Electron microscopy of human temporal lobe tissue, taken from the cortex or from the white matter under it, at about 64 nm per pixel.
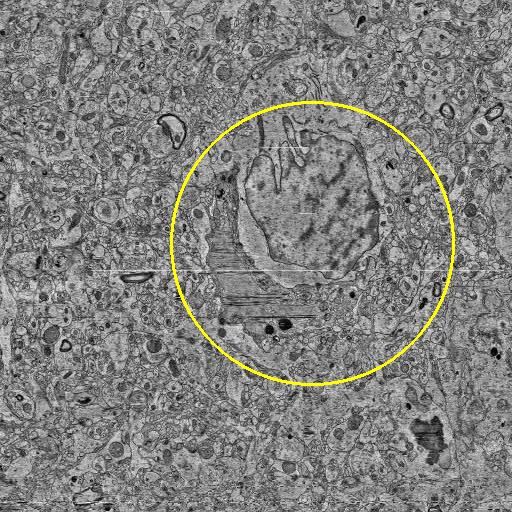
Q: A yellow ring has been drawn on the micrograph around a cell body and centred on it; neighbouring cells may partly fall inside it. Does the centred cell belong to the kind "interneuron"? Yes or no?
No, it belongs to another kind.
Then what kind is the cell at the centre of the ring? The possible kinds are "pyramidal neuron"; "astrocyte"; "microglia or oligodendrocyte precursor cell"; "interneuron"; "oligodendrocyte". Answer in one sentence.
The cell this ring marks is a microglial cell or oligodendrocyte precursor cell.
